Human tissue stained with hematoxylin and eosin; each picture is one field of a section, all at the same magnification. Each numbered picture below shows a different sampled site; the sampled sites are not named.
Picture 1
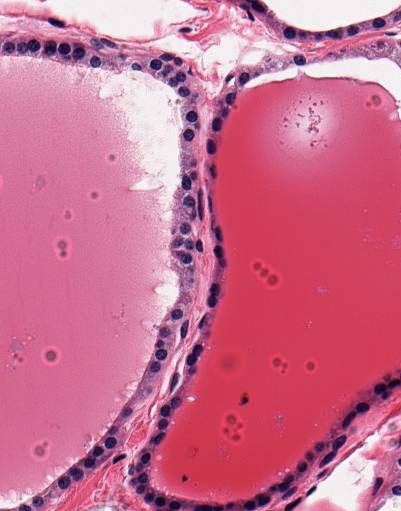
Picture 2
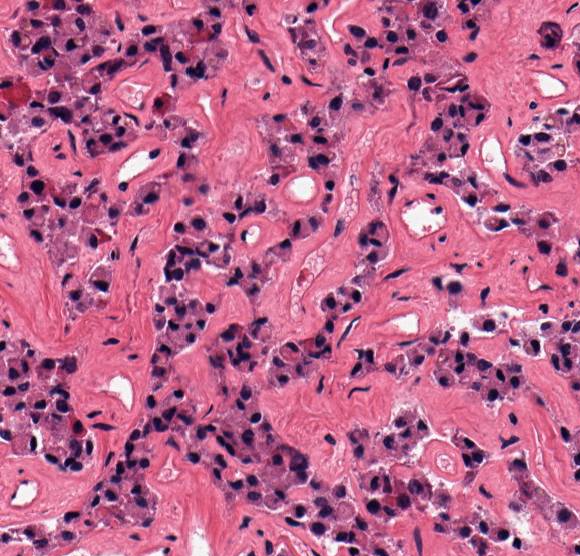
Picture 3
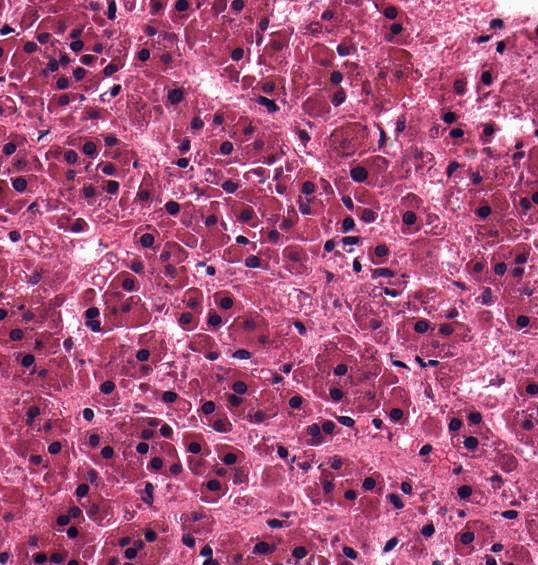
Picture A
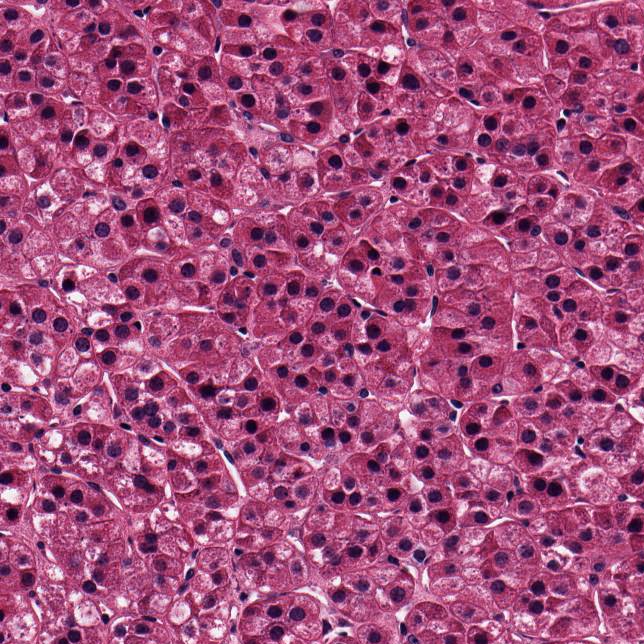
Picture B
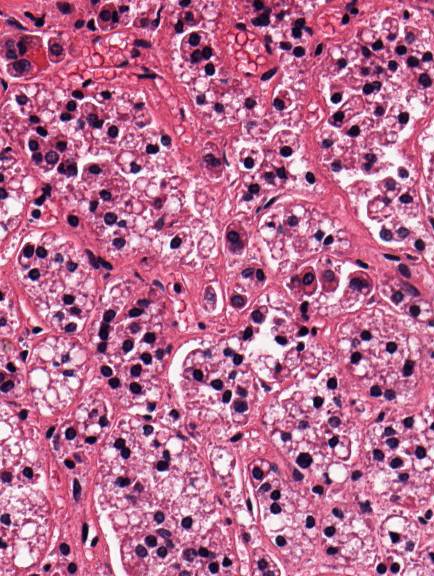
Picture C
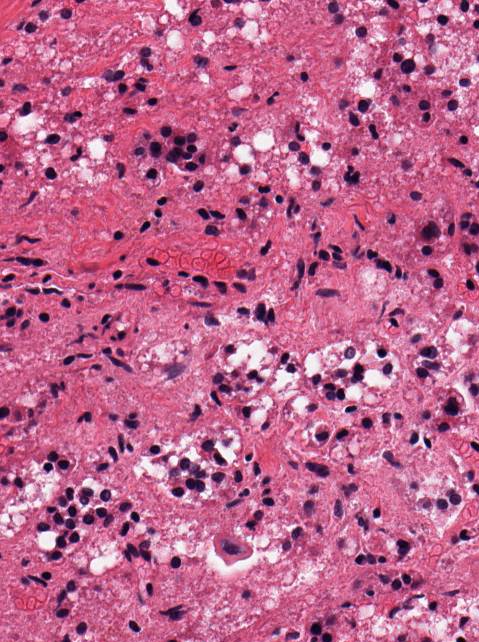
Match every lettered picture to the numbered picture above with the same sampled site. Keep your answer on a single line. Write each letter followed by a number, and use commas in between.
A 3, B 3, C 3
